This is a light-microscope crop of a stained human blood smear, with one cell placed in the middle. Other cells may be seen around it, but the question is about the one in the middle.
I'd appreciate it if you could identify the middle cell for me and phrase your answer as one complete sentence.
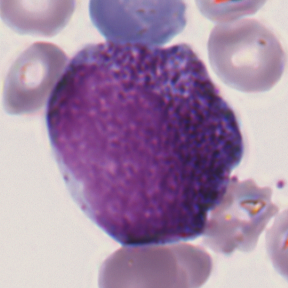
The cell marked by its central position in the crop is a promyelocyte.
